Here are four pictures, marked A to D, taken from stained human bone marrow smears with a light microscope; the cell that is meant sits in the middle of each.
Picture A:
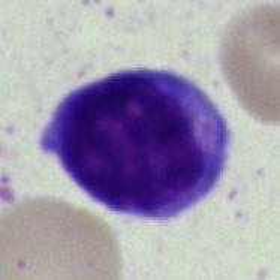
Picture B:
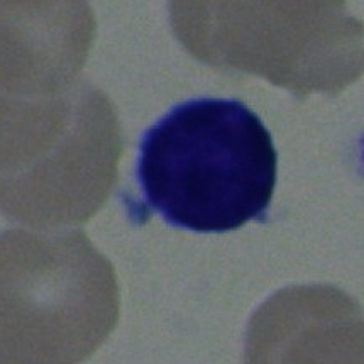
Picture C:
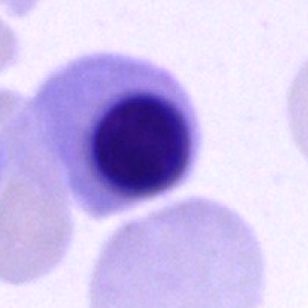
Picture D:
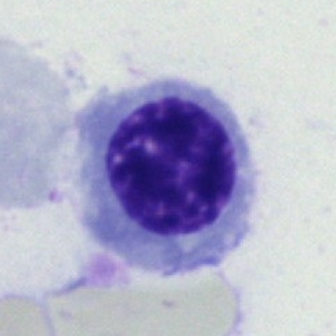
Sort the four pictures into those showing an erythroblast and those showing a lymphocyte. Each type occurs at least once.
A: lymphocyte
B: lymphocyte
C: erythroblast
D: erythroblast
